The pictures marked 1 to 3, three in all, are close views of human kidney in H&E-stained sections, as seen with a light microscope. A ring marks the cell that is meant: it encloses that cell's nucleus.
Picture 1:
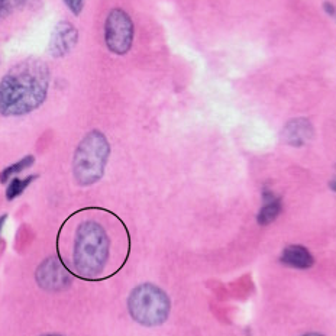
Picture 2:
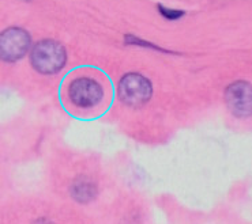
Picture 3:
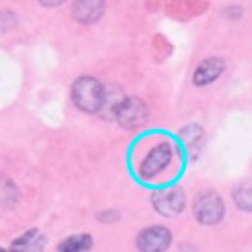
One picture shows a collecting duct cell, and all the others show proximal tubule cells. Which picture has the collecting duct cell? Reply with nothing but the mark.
3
